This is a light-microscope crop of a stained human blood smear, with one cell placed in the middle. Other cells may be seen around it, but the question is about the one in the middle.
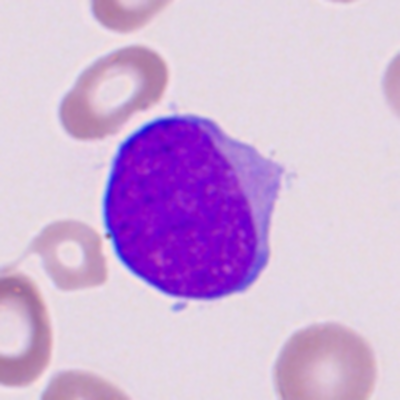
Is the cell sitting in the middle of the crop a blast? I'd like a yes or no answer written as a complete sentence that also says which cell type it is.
Yes, the cell in the central position is a blast.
